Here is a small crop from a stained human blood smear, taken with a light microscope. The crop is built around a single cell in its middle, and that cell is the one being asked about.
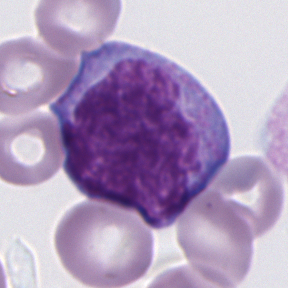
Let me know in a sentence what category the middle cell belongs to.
The cell around which this crop is centred is a promyelocyte.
